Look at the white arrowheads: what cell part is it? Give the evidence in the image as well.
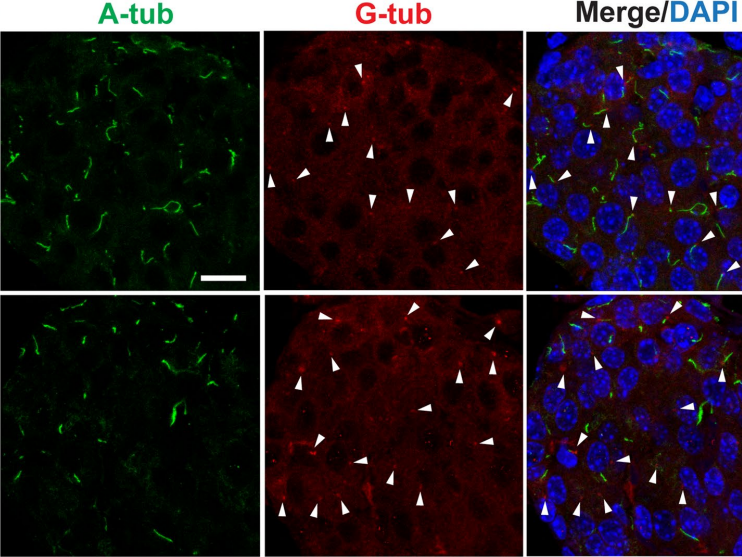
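Basal bodies. Small red dots lie at the tips of the arrowheads. Green rods in the merged images start from or lie beside these dots.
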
